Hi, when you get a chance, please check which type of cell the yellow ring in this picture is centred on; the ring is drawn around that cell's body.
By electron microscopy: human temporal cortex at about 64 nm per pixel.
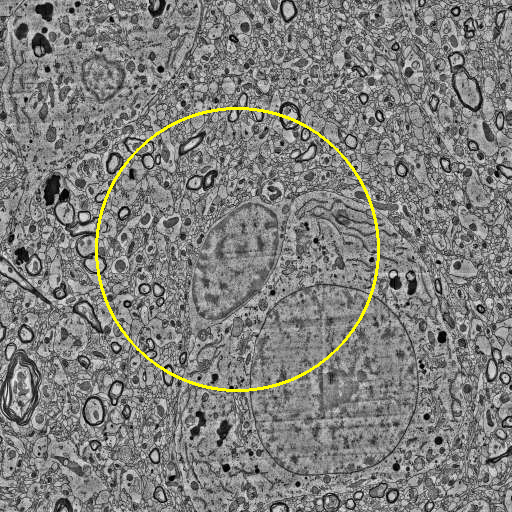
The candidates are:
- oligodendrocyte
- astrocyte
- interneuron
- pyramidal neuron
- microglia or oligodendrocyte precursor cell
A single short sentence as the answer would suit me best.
The ring is drawn around the body of an oligodendrocyte.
